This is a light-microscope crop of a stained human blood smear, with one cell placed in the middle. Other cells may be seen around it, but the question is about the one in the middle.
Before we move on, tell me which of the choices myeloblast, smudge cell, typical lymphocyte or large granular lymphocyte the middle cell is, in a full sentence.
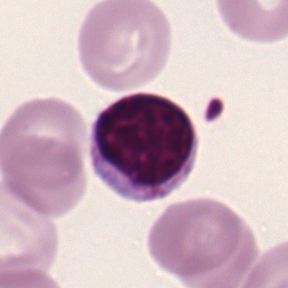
The cell found in the middle of this crop is a typical lymphocyte.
